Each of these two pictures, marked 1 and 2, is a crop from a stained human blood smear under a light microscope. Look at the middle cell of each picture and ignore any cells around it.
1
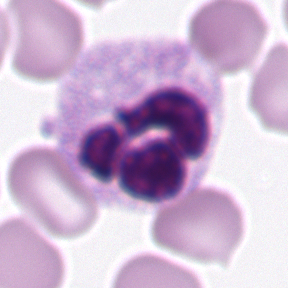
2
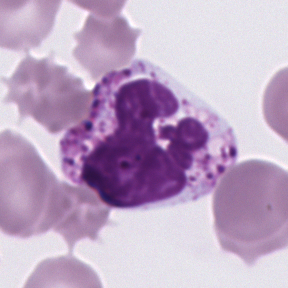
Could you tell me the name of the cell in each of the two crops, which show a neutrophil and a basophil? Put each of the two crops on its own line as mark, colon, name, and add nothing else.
1: neutrophil
2: basophil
